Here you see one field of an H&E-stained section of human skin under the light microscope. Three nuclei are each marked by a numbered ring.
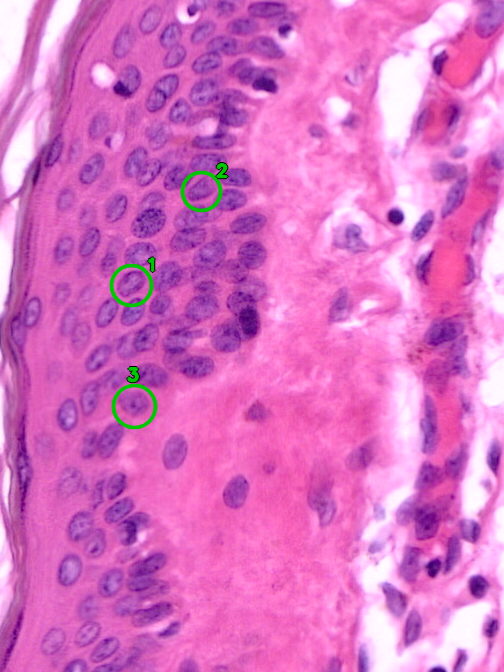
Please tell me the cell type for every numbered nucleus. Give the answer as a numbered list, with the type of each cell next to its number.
1. suprabasal keratinocyte
2. basal keratinocyte
3. basal keratinocyte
